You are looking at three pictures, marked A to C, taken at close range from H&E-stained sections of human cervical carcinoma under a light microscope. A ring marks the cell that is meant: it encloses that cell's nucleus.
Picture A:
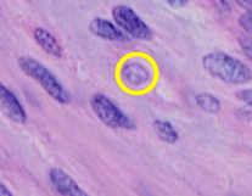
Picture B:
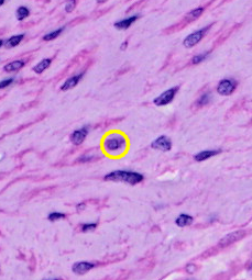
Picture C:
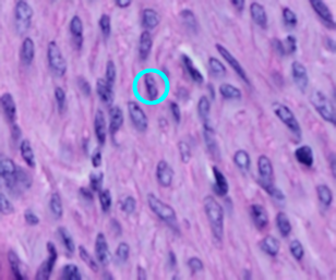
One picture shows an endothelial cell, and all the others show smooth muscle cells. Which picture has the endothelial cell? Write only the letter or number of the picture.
A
